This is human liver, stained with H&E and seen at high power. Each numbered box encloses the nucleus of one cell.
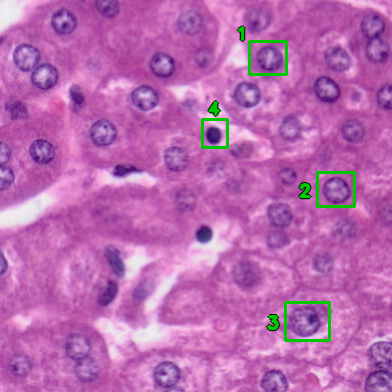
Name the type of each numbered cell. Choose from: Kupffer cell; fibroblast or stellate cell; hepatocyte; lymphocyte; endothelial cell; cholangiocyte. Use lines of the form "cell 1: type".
cell 1: hepatocyte
cell 2: hepatocyte
cell 3: hepatocyte
cell 4: lymphocyte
